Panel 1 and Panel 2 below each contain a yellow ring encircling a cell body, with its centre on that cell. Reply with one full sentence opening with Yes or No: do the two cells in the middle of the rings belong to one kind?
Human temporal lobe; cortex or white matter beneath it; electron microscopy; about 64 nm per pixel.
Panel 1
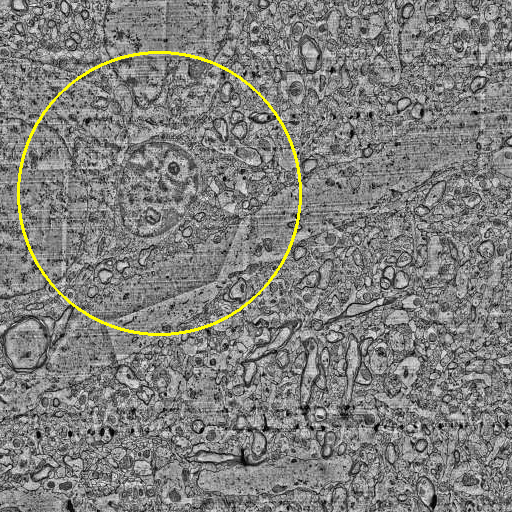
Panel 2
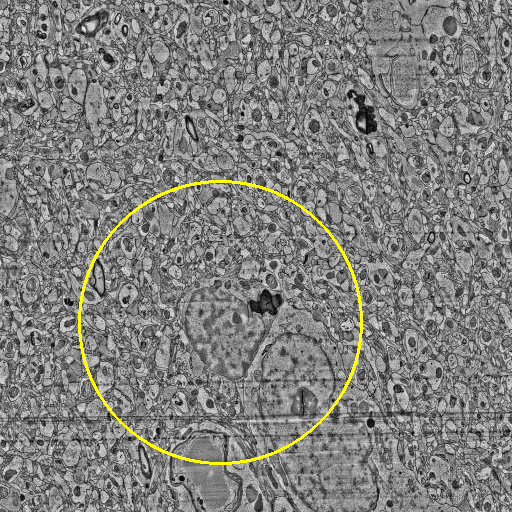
Yes, the cells at the middle of the Panel 1 ring and the Panel 2 ring are of one kind.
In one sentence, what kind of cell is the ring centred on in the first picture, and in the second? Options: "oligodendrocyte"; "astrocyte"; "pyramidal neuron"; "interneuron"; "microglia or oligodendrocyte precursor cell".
Each of the two cells is an oligodendrocyte.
